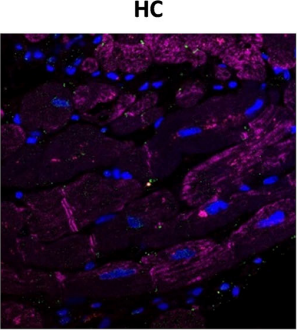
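Heart muscle tissue with cardiomyocytes cut lengthwise and obliquely fills the field. The muscle fibres are broad, packed side by side and stained pink, with fine cross-striations visible along several of them. Oval to elongated blue nuclei sit within the fibres and in the narrow gaps between them; a few smaller nuclei in the thin spaces between fibres likely belong to interstitial cells. Green is nearly absent, seen only as a few tiny specks, and there is almost no white in the nuclei. The interstitium is narrow and the fibres lie closely together, giving a compact, orderly myocardium.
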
